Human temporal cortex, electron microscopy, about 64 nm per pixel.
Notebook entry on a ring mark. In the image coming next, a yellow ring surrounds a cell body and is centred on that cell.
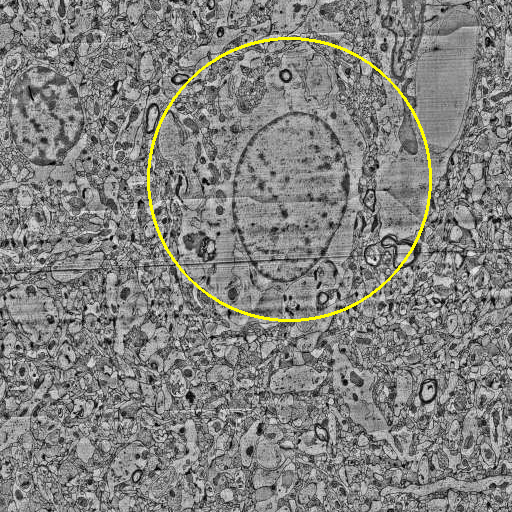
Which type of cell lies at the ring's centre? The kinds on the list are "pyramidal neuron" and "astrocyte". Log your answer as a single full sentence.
Centred in the yellow ring is an astrocyte, the cell recorded for this image.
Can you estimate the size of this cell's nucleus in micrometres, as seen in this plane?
Approximately 11 micrometres long and 7 micrometres wide, in this plane.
